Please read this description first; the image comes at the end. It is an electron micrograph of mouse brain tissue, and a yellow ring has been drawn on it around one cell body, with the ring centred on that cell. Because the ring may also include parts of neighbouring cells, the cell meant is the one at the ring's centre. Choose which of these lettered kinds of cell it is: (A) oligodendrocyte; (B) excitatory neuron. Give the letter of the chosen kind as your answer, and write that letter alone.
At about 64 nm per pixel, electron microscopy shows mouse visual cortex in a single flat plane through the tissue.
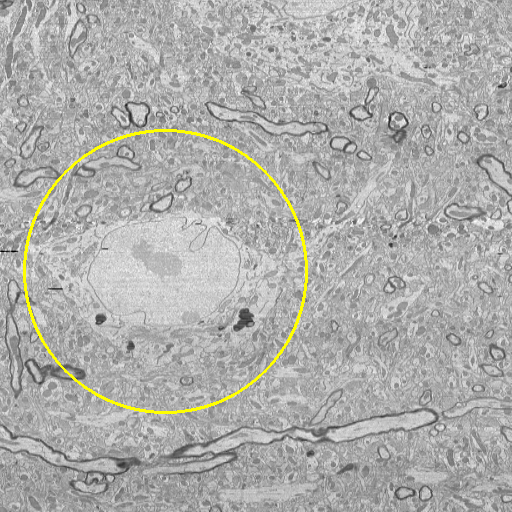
B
